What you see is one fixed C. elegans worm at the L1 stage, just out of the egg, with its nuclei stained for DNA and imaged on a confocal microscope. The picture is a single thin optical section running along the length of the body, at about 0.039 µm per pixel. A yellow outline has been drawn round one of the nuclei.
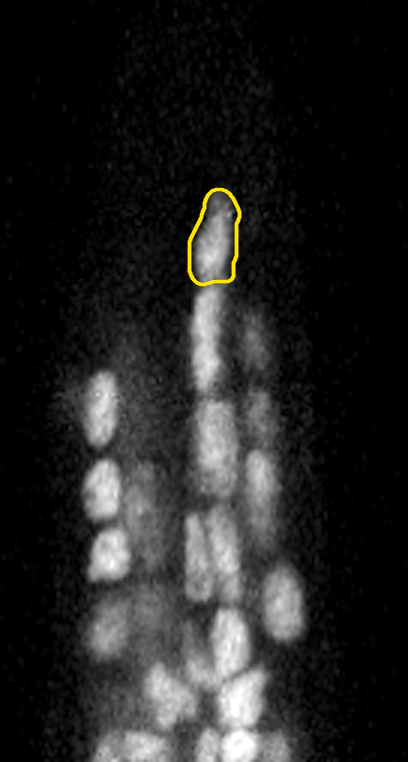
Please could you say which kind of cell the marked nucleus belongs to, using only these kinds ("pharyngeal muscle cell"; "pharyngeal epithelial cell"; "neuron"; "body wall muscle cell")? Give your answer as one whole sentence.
The marked cell is a pharyngeal epithelial cell.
